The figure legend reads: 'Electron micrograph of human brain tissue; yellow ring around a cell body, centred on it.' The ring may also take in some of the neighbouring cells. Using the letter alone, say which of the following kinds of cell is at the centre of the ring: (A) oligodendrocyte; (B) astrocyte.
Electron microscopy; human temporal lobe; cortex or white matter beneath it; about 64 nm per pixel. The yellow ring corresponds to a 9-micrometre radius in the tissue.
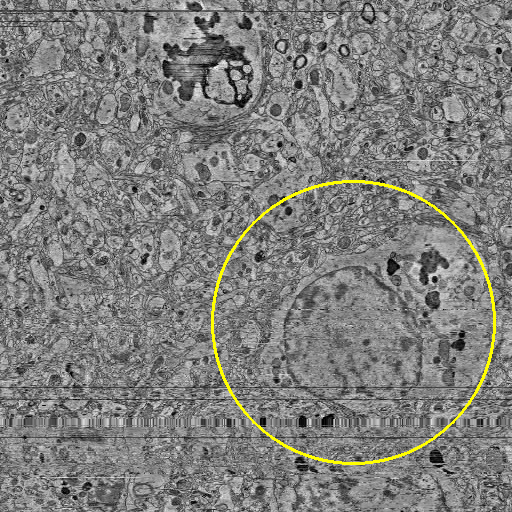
B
